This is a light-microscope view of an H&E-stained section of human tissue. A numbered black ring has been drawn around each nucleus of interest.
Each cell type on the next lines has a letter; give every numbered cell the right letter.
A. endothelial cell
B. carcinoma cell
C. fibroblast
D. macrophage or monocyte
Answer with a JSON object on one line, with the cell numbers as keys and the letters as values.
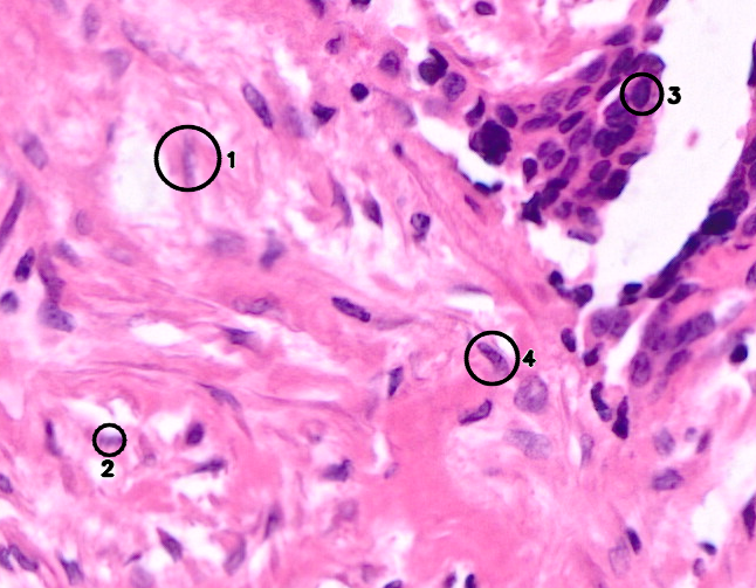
{"1": "C", "2": "C", "3": "B", "4": "C"}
